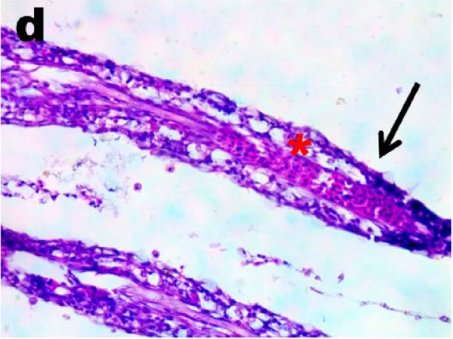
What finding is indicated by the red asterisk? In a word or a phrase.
congestion of blood vessels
